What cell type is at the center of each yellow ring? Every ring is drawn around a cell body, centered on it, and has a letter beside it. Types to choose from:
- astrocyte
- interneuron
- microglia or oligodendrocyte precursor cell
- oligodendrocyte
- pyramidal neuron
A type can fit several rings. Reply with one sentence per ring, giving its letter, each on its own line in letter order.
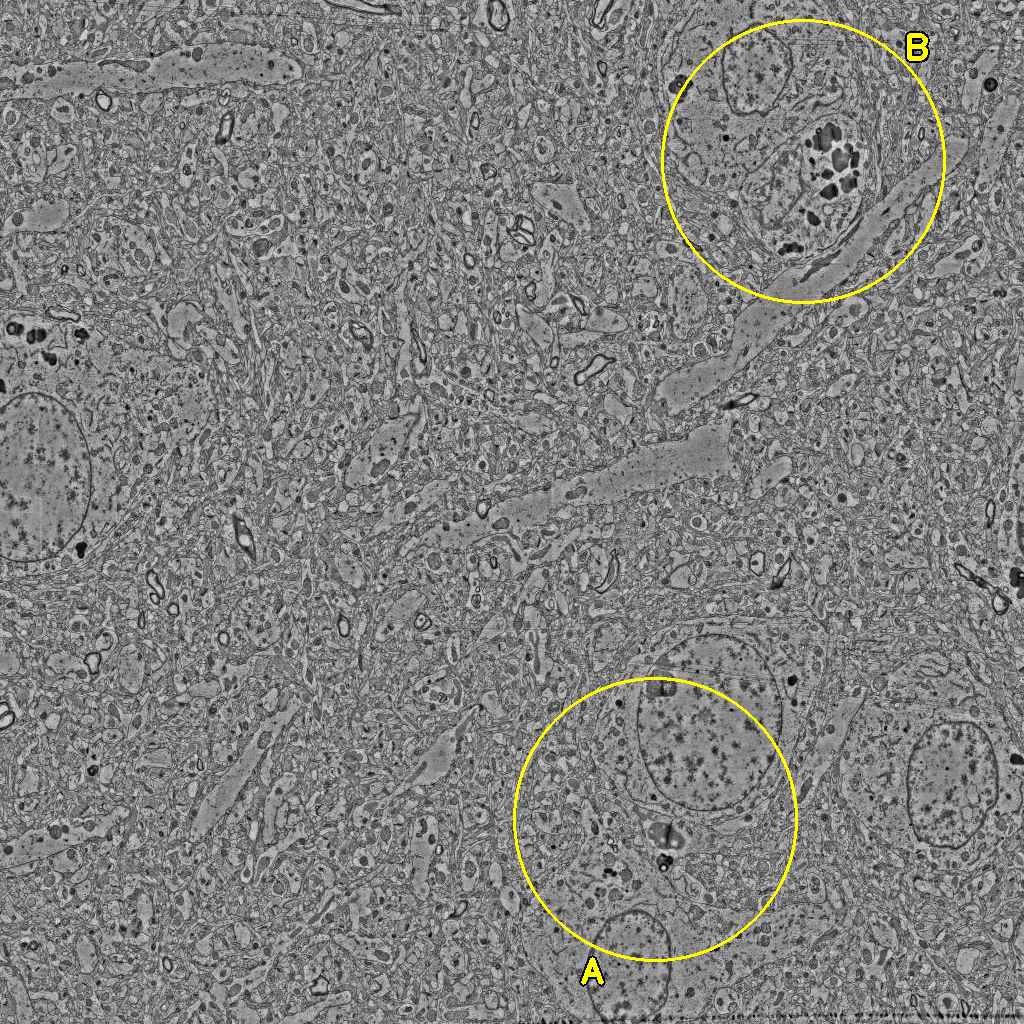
Ring A is placed around a microglial cell or oligodendrocyte precursor cell.
Ring B is placed around an interneuron.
